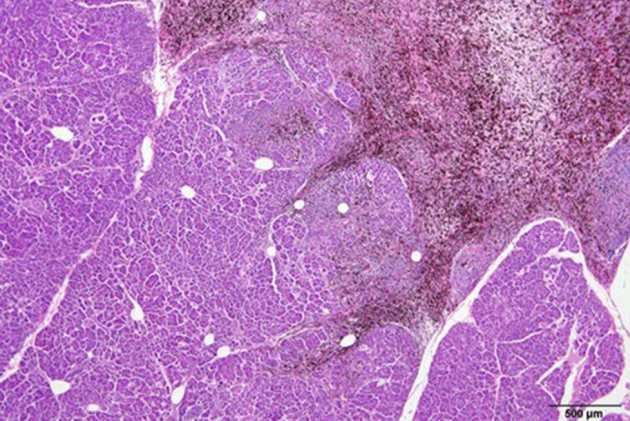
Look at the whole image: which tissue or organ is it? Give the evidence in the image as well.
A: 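Thin fibrous septa divide the glandular tissue into lobules. A band of darkly speckled tissue runs between the lobules.
Conclusion: pancreas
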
